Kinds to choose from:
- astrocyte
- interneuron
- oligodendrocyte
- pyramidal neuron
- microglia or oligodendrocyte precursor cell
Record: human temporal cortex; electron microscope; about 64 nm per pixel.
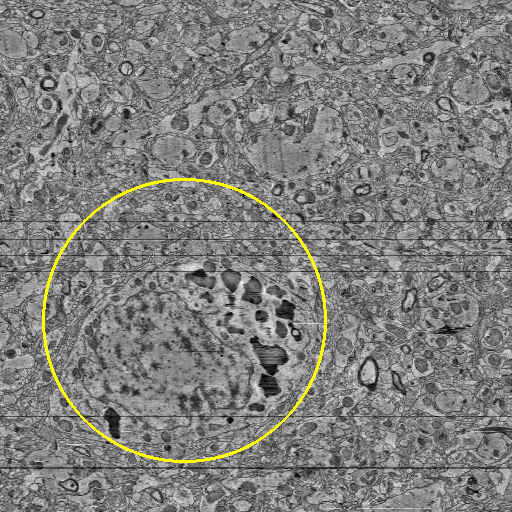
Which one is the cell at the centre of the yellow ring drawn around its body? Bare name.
interneuron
